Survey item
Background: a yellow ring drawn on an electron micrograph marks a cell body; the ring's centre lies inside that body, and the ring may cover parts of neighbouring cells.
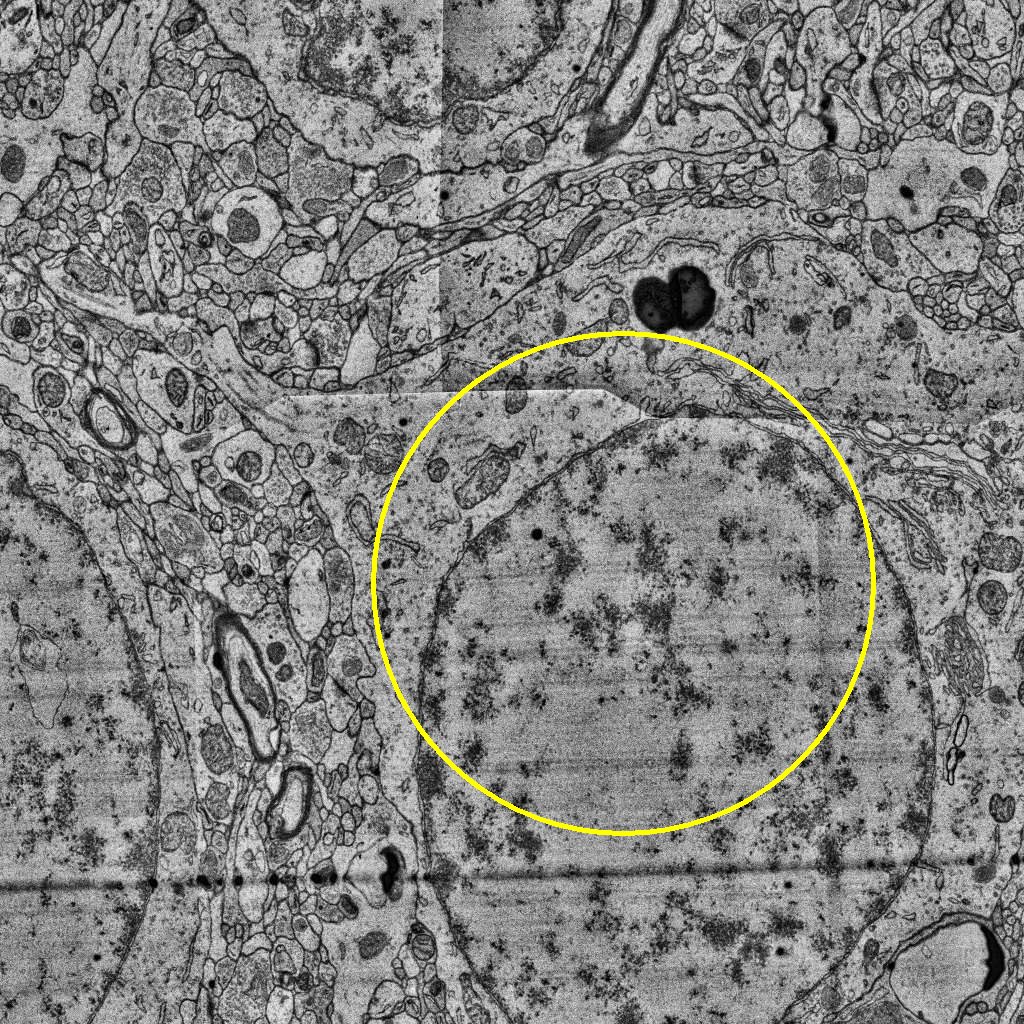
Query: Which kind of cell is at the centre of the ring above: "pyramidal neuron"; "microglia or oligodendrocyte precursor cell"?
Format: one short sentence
The cell in the middle of the ring is a pyramidal neuron.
